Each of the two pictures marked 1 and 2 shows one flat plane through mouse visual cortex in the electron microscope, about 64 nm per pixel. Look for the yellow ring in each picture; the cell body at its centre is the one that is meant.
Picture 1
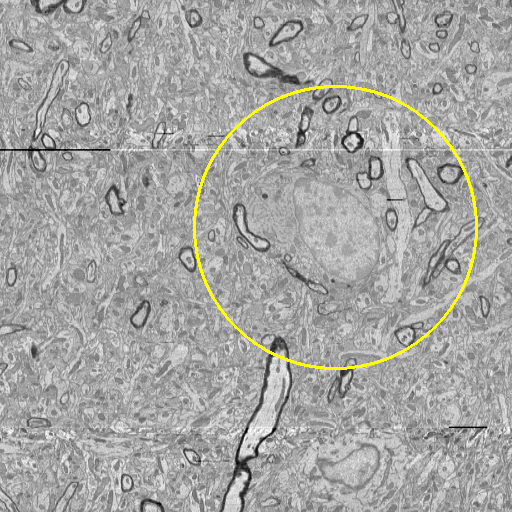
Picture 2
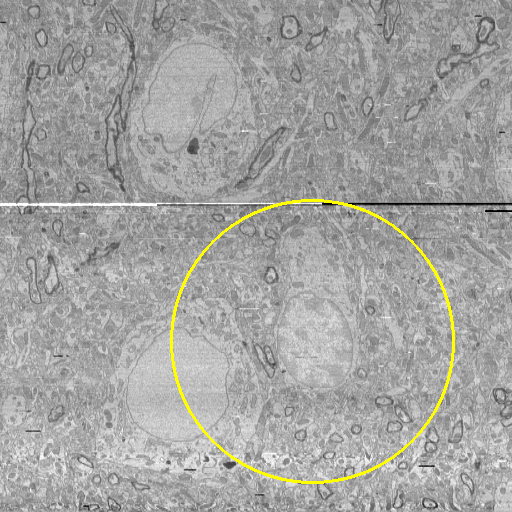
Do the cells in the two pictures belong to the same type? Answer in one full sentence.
Yes; the cells in both pictures are oligodendrocytes.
